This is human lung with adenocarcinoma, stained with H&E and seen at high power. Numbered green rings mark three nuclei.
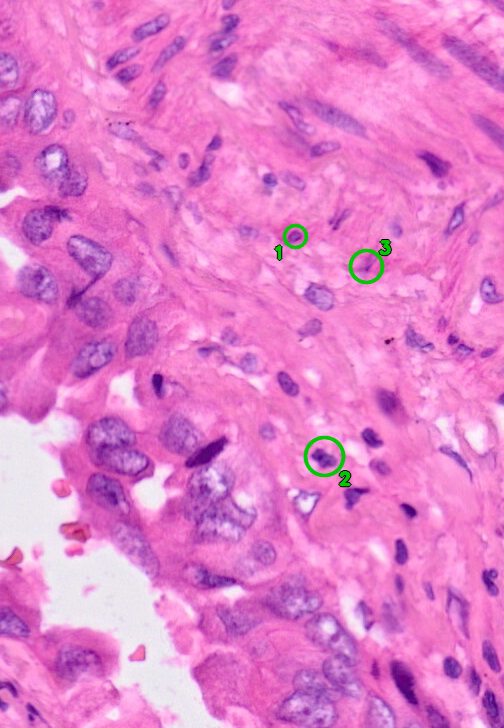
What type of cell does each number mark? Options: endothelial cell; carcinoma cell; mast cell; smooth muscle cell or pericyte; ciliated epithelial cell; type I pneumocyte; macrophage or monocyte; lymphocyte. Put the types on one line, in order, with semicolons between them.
smooth muscle cell or pericyte; lymphocyte; smooth muscle cell or pericyte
